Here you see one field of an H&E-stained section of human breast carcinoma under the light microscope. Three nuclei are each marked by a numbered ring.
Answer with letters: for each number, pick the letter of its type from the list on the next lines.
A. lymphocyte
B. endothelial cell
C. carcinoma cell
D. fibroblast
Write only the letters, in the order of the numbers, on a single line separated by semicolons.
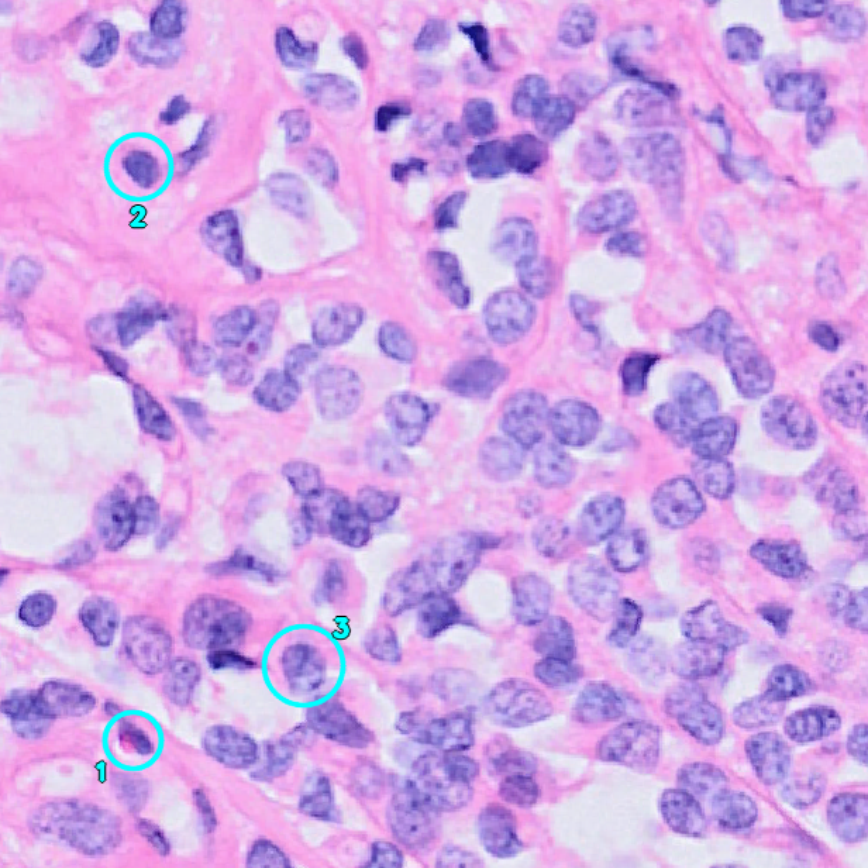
B; A; C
